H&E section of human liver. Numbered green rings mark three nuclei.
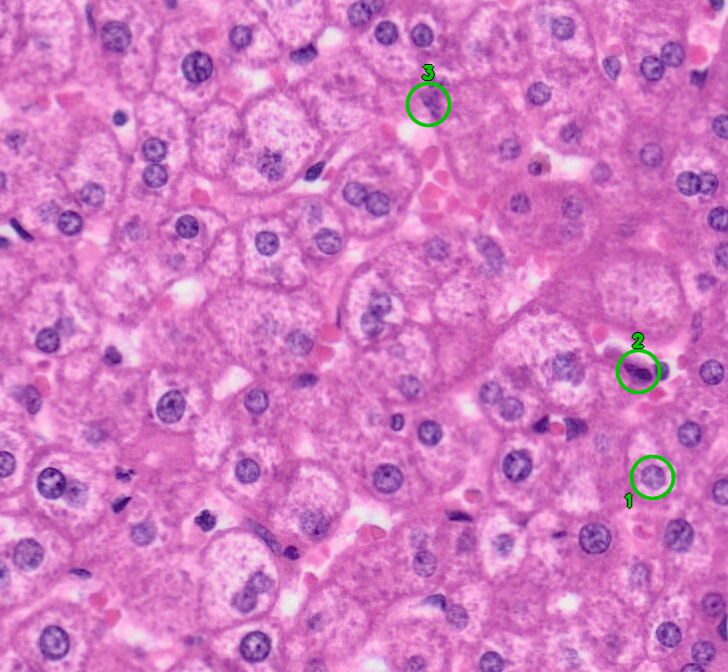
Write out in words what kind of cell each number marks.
Cell 1 is a hepatocyte, cell 2 is a Kupffer cell and cell 3 is an endothelial cell.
